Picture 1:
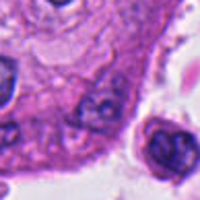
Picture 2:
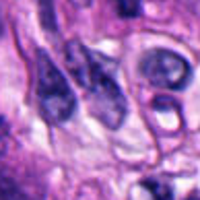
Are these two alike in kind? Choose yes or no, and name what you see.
Yes. Cytotrophoblasts.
